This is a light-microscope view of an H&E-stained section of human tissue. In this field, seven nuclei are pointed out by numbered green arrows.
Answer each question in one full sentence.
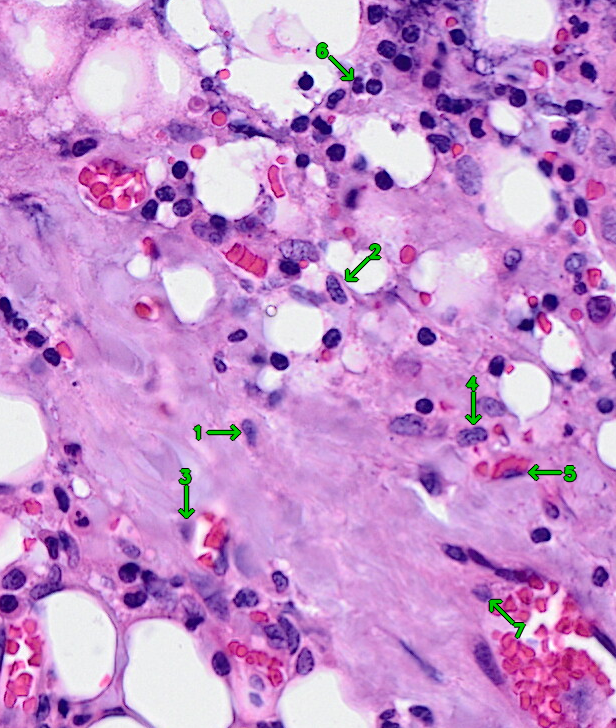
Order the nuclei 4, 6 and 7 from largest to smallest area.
Largest first, the order by area is 4, 7, 6.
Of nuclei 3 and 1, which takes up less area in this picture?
With nucleus 1 about 2 times its size, nucleus 3 is the smaller of the two.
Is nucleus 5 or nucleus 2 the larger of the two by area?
Nucleus 2 covers more area, about 1.5 times as much as nucleus 5.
